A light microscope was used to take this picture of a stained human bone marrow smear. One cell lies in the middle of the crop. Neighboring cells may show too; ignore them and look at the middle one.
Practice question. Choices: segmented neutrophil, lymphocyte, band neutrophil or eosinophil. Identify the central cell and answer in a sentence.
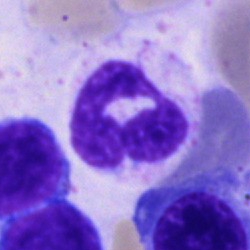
The middle of this crop is occupied by a segmented neutrophil.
